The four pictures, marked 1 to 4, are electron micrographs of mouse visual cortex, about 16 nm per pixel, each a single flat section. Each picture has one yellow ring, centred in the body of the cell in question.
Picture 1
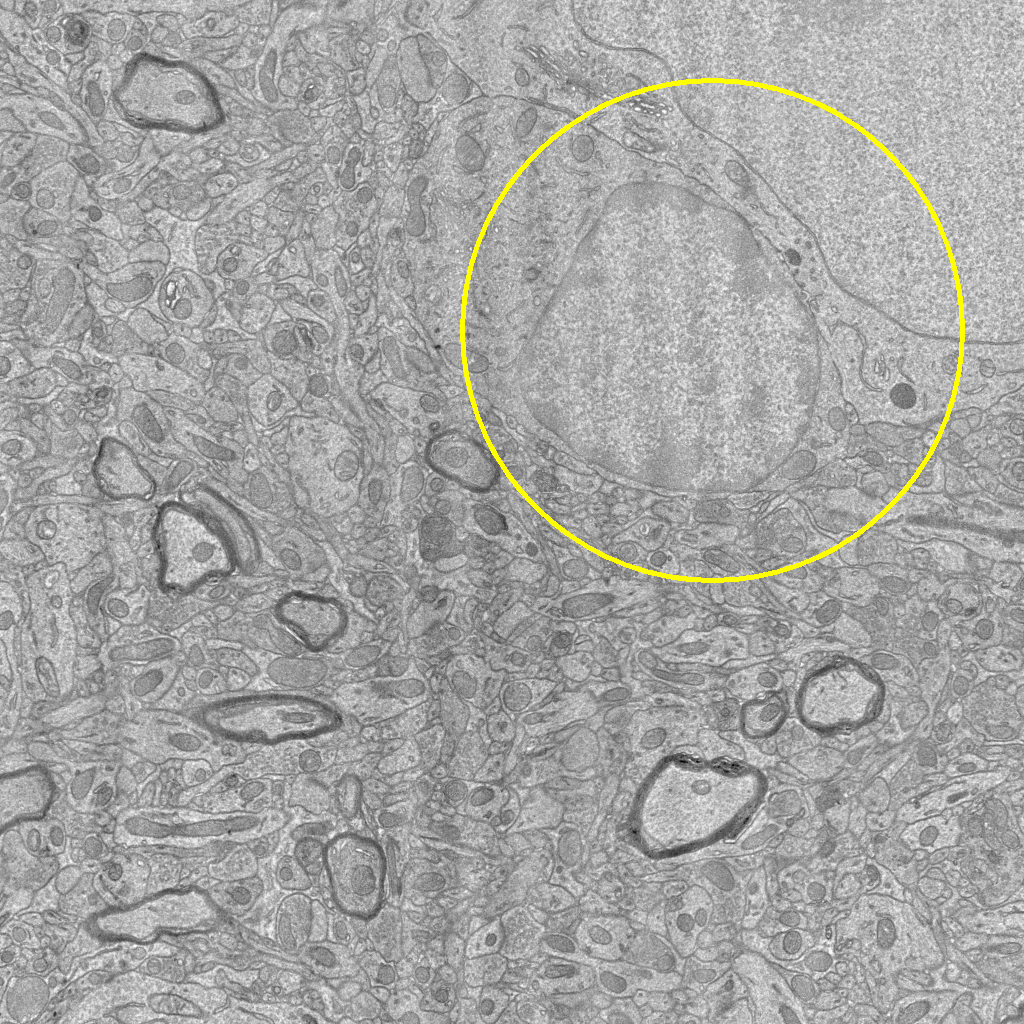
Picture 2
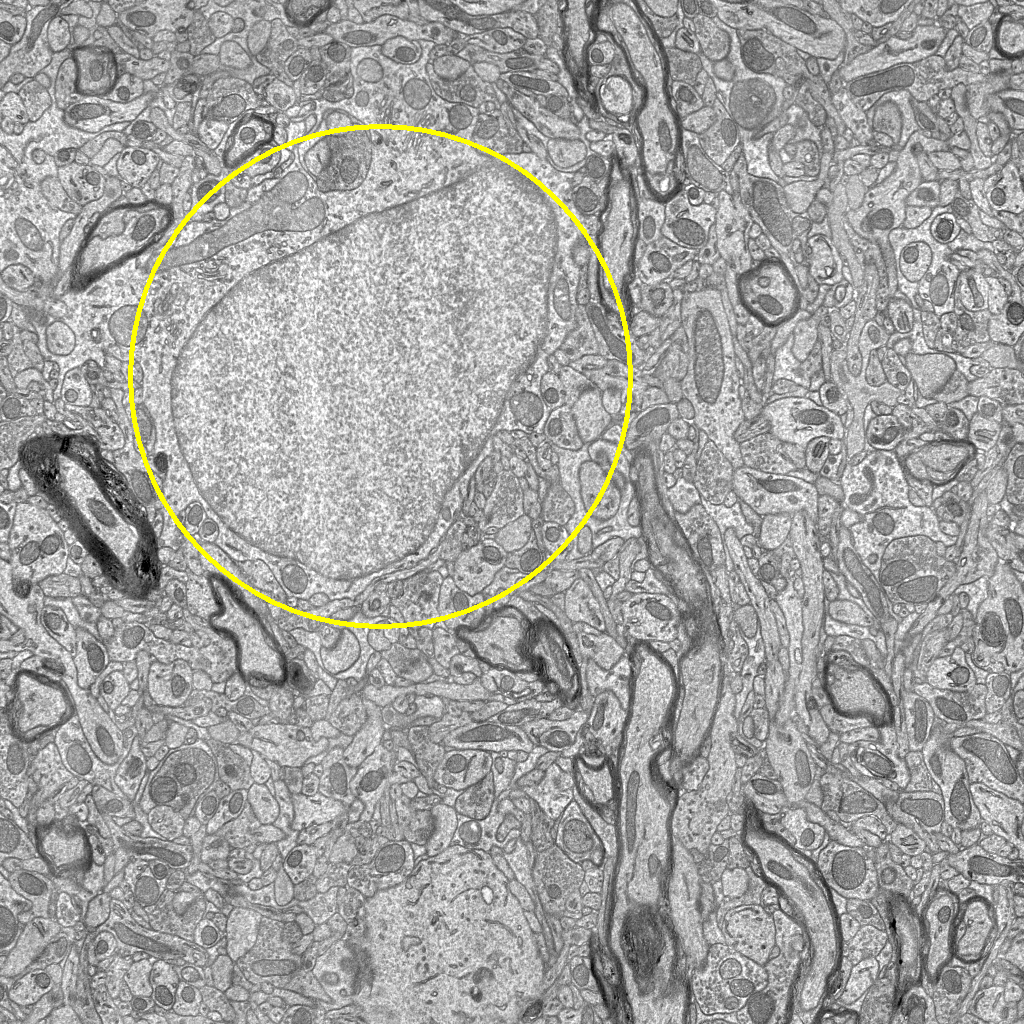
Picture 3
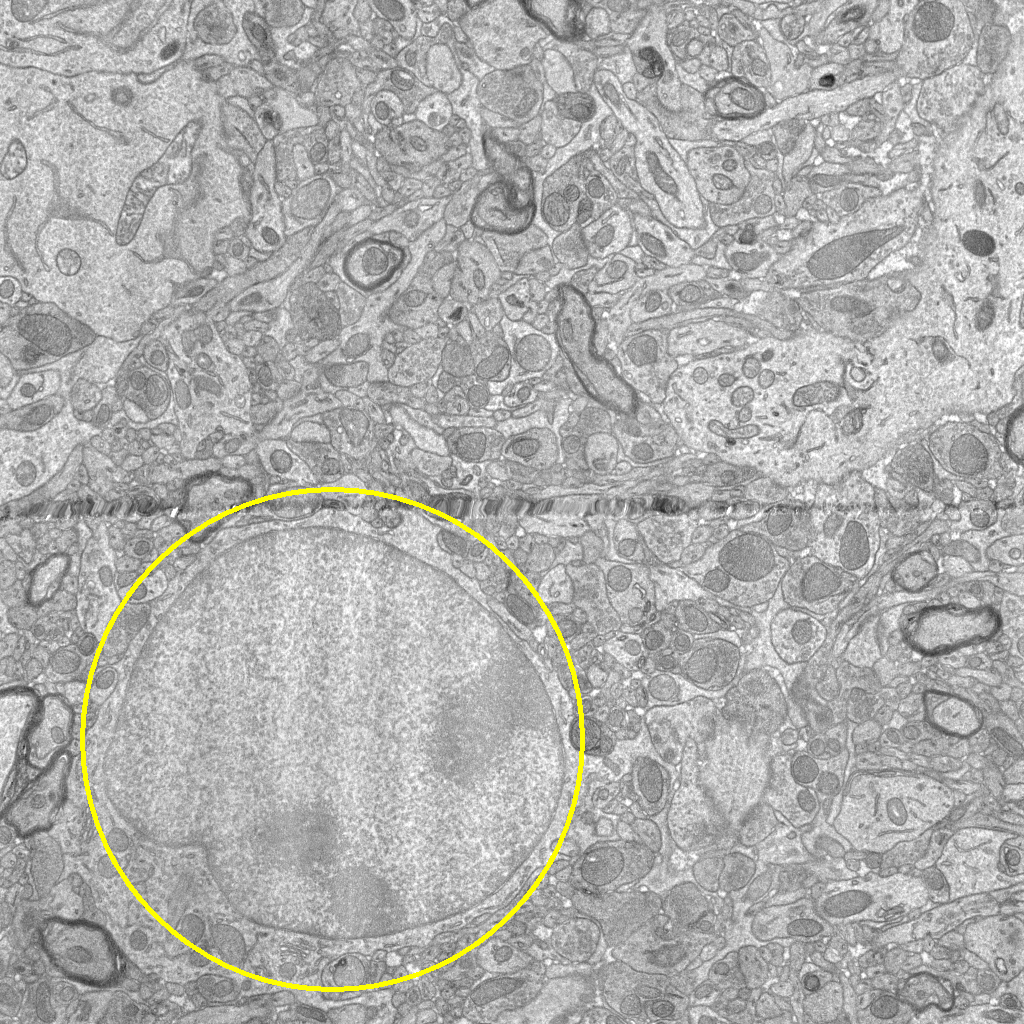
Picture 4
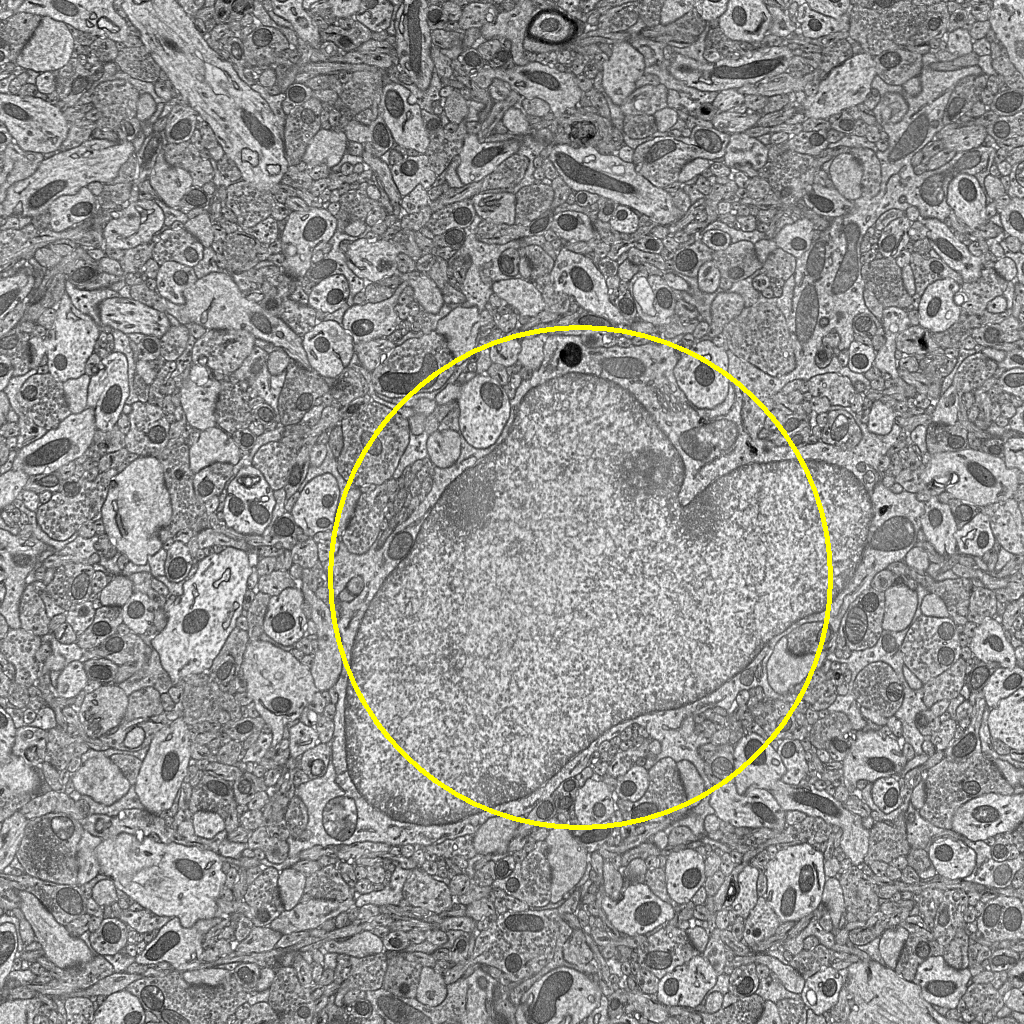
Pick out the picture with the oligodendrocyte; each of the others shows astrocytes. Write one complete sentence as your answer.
Picture 1 shows the oligodendrocyte.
